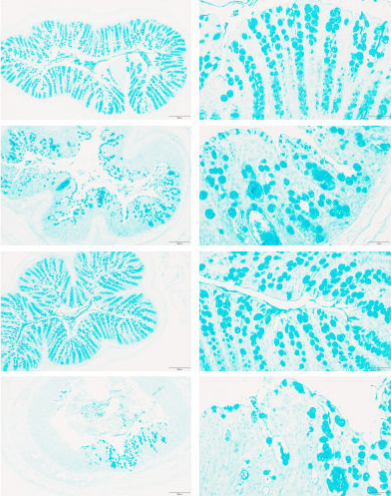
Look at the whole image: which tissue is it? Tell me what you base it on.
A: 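Colon. Cross-sections of a tube with a folded mucosa around a central lumen. Straight tubular glands run radially from the lumen toward a thin outer wall.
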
